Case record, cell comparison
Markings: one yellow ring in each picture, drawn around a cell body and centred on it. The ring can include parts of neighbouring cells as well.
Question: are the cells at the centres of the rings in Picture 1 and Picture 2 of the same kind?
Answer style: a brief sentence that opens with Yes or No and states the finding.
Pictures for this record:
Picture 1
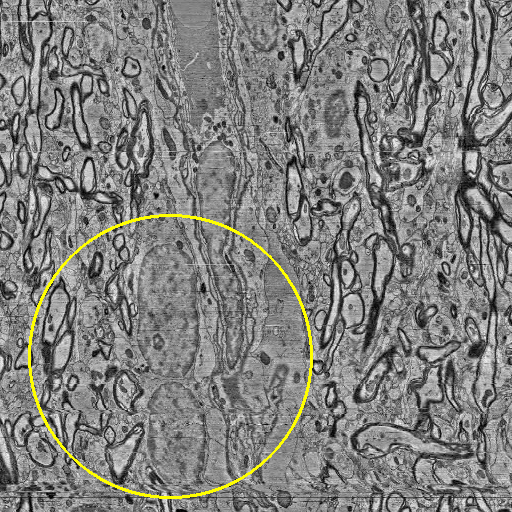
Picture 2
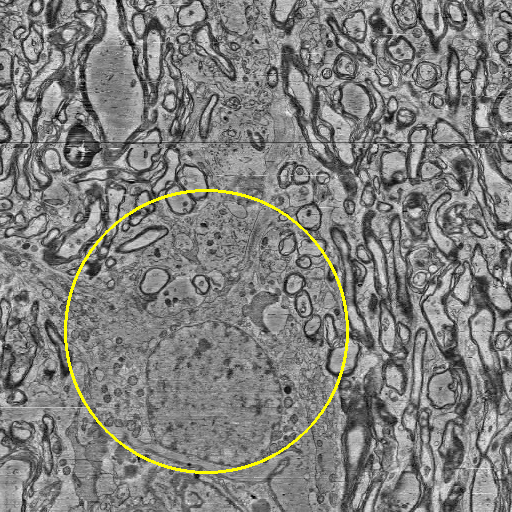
No, the cells in Picture 1 and Picture 2 are of two kinds.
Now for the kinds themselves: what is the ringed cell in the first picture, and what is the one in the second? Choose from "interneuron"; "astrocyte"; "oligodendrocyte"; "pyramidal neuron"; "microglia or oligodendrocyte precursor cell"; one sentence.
Here the first cell is an oligodendrocyte and the second cell is an astrocyte.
